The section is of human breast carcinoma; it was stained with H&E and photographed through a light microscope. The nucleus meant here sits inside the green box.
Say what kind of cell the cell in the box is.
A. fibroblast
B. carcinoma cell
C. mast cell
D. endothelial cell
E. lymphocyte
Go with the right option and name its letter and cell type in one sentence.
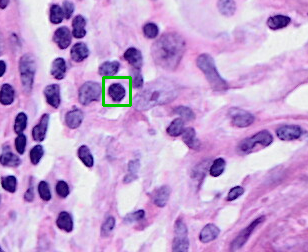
In the section, the cell in the box is a lymphocyte, and option E is correct accordingly.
